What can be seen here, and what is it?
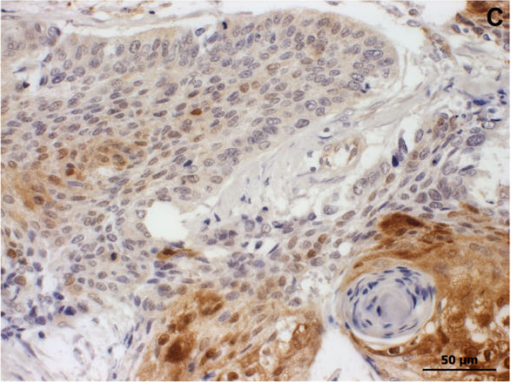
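Nests of squamous carcinoma cells lie in a fibrous stroma, with a concentric keratin pearl in the lower part of the field, a sign of well differentiated areas. The tumor cells have oval blue nuclei and moderate cytoplasm; brown staining is uneven, strongest in cells around the keratin pearl and weaker or absent in other parts of the nests.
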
